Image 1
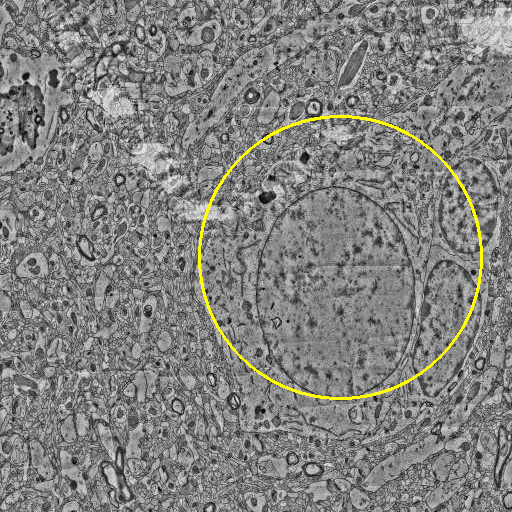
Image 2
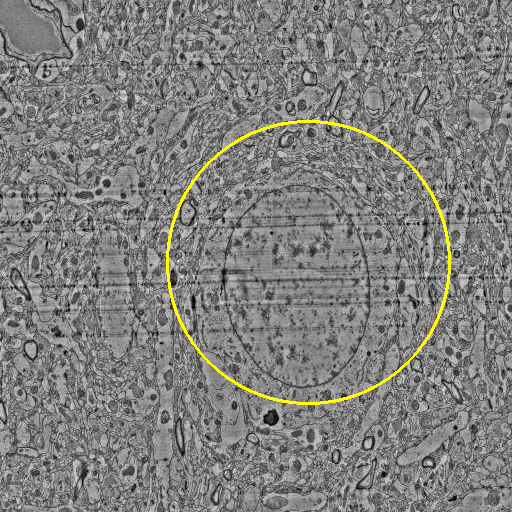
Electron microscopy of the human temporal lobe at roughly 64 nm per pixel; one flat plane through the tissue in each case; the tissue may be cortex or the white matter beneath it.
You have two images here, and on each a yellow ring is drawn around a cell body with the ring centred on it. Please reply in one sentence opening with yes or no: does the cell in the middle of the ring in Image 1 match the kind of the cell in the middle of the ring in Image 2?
Yes, the two images show cells of one kind at the centres of their rings.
